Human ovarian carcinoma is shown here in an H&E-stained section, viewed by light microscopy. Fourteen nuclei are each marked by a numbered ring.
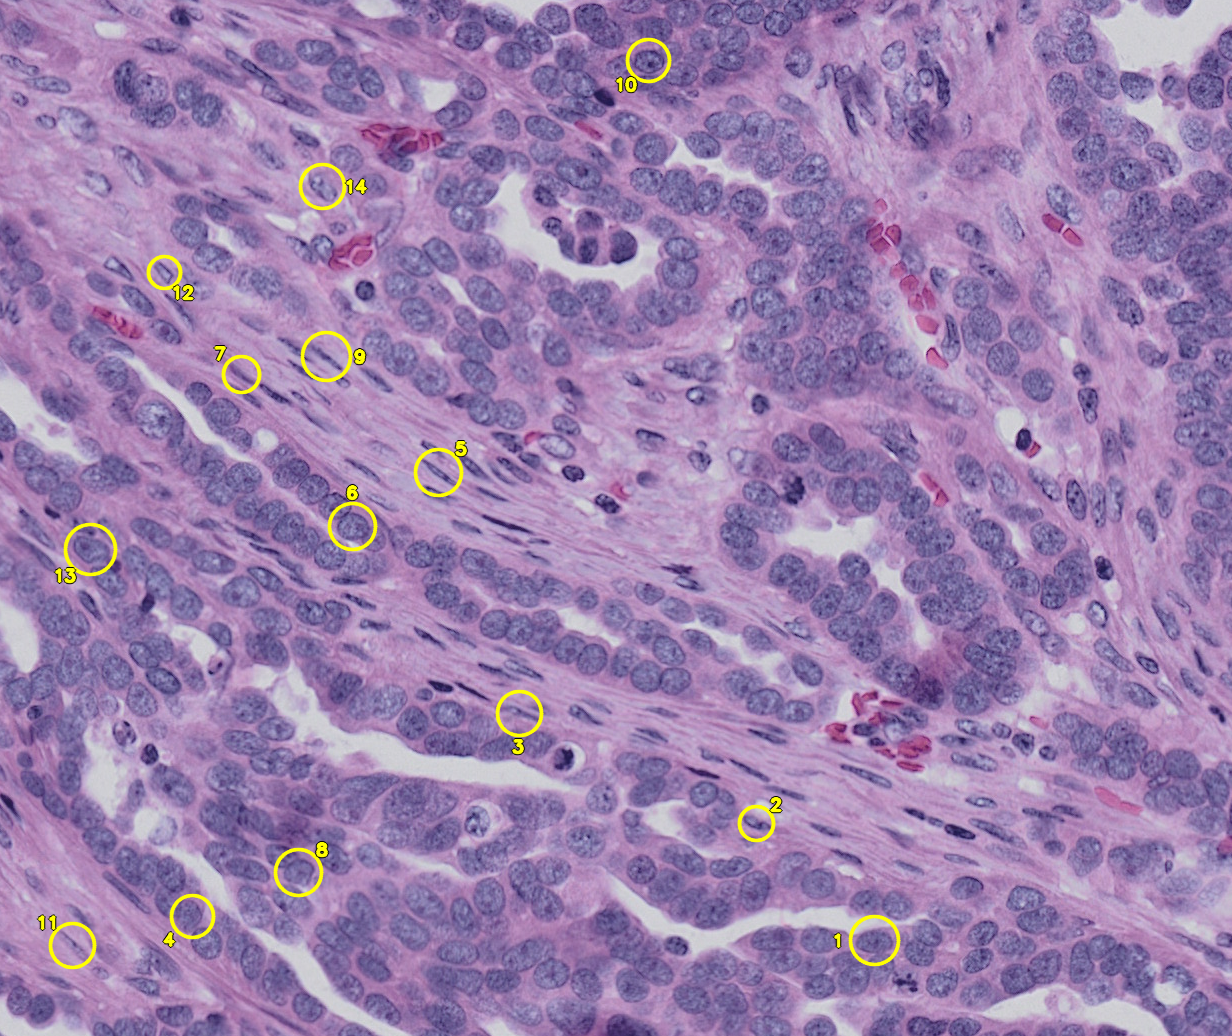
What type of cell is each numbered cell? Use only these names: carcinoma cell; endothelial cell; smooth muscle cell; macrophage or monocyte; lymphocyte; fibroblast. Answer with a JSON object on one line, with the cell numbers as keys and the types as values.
{"1": "carcinoma cell", "2": "fibroblast", "3": "fibroblast", "4": "carcinoma cell", "5": "fibroblast", "6": "carcinoma cell", "7": "fibroblast", "8": "carcinoma cell", "9": "fibroblast", "10": "carcinoma cell", "11": "fibroblast", "12": "fibroblast", "13": "carcinoma cell", "14": "fibroblast"}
